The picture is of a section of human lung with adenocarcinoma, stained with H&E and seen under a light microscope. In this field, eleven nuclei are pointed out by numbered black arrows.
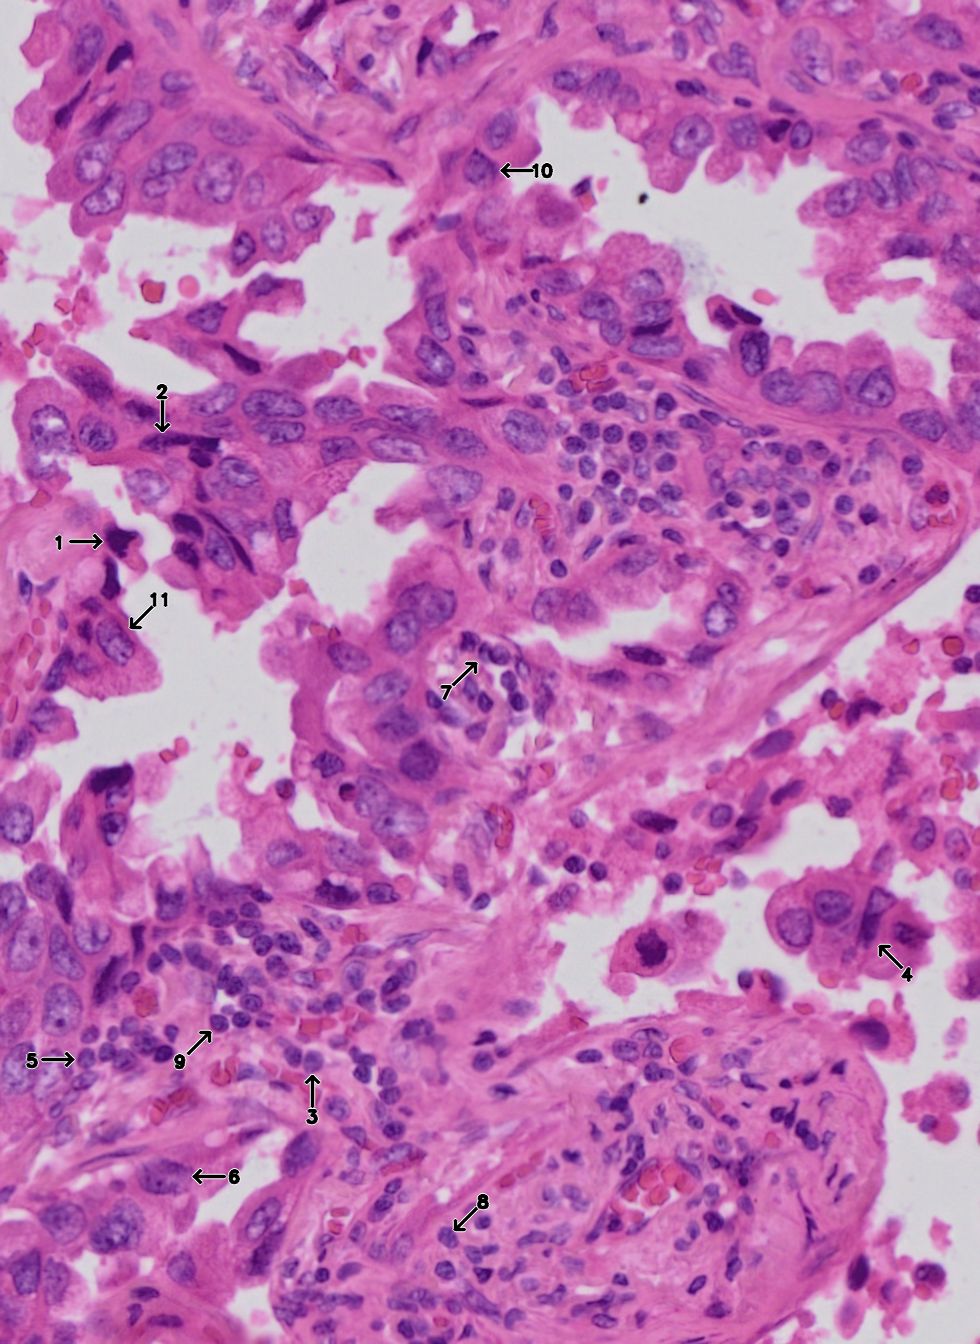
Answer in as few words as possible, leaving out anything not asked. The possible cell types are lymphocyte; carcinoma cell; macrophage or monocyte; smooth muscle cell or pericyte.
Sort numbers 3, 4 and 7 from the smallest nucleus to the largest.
7, 3, 4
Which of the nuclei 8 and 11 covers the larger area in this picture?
11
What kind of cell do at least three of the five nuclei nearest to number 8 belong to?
lymphocyte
